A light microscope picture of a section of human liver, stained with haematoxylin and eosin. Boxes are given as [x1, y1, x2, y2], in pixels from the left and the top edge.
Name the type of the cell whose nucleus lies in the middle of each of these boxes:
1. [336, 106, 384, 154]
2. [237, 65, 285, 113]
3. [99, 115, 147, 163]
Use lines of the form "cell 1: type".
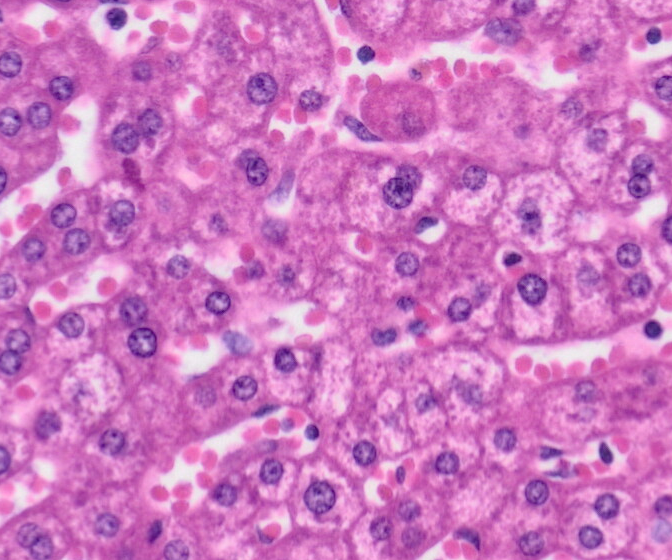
cell 1: Kupffer cell
cell 2: hepatocyte
cell 3: hepatocyte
